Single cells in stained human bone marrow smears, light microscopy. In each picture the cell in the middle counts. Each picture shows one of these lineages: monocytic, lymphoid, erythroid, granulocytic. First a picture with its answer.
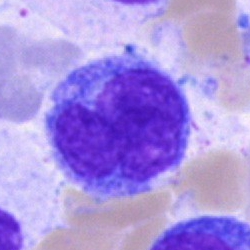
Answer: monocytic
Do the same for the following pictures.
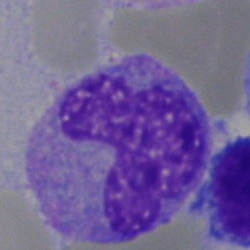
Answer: monocytic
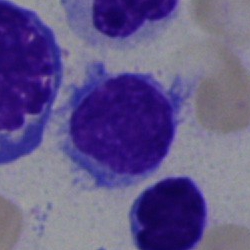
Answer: lymphoid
